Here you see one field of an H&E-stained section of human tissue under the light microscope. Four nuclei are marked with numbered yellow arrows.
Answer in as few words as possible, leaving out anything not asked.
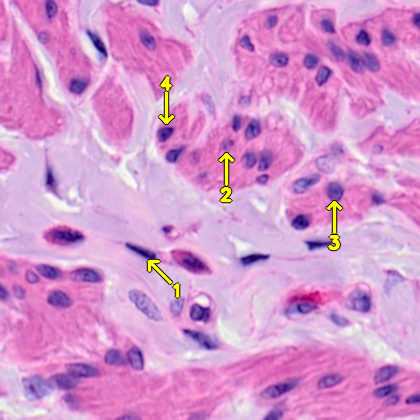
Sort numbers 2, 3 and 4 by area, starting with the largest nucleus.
3, 4, 2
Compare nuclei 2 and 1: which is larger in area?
1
